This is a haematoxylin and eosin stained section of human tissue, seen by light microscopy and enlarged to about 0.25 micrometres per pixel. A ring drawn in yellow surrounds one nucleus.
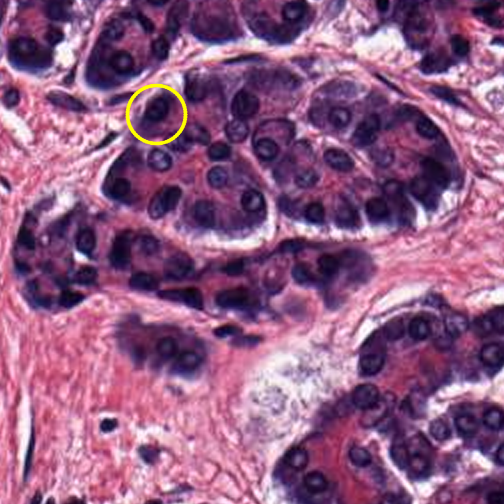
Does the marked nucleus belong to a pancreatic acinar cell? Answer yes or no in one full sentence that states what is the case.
Yes, in this section the marked nucleus belongs to a pancreatic acinar cell.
